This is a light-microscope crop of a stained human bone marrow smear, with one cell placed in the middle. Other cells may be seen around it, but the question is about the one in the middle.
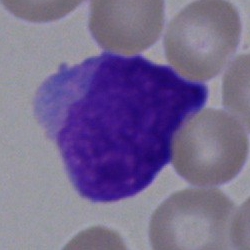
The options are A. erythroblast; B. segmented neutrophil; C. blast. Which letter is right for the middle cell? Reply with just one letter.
C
